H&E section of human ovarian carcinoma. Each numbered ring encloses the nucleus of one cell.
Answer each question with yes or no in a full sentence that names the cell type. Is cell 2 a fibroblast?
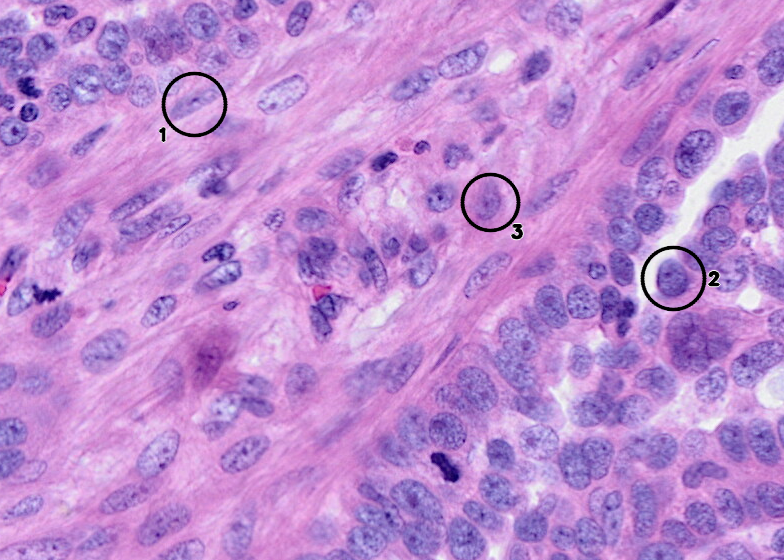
No, the cell given number 2 is a carcinoma cell, as opposed to a fibroblast.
